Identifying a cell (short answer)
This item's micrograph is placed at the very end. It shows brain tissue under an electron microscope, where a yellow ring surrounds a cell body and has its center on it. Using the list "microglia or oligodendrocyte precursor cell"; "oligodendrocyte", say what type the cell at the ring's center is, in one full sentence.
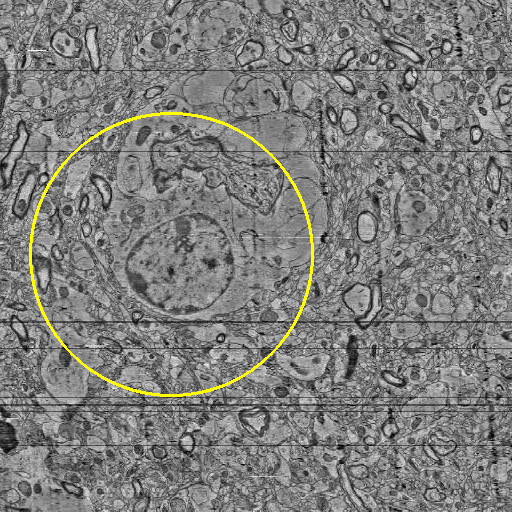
This picture shows a microglial cell or oligodendrocyte precursor cell at the center of the yellow ring drawn on it.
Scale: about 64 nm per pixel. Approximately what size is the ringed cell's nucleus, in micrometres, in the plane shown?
The nucleus measures about 7 micrometers across in this plane.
